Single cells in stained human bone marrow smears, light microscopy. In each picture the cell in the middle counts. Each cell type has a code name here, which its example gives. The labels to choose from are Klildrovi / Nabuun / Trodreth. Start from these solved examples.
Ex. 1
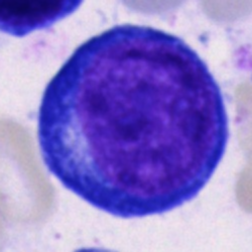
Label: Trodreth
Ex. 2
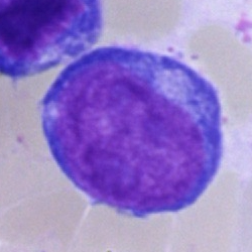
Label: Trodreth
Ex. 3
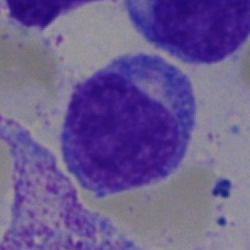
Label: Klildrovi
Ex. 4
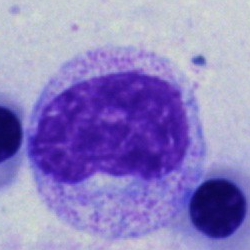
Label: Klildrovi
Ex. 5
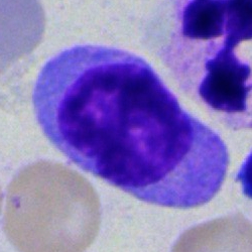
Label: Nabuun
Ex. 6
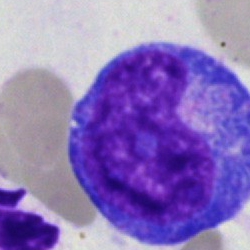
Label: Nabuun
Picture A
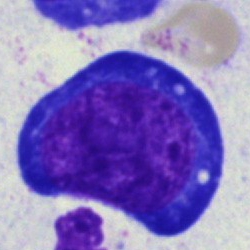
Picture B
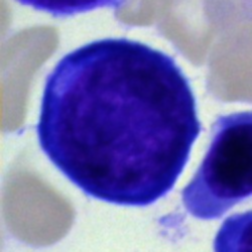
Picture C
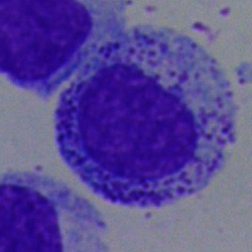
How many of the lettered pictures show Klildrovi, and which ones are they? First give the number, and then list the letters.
1: C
